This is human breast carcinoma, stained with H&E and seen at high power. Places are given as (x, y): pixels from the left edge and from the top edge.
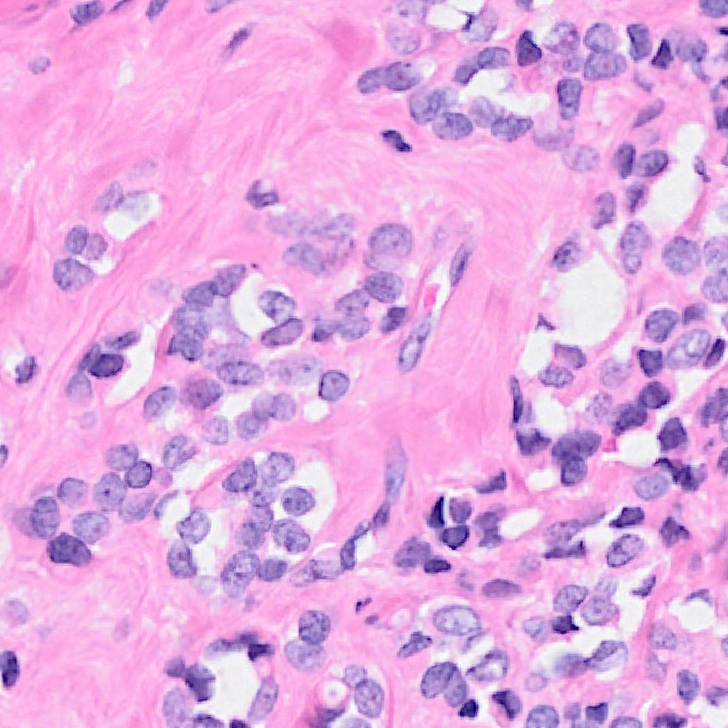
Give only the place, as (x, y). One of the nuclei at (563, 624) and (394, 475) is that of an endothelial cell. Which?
(394, 475)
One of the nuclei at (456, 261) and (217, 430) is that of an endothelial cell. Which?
(456, 261)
